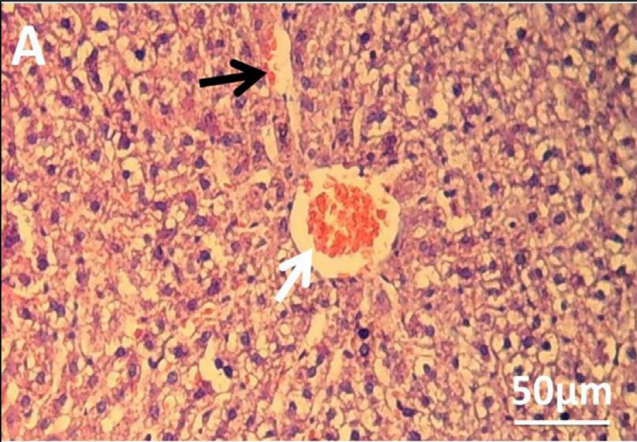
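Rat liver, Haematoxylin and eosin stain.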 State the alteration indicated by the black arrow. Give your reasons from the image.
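A widened channel between hepatocyte cords. Red blood cells lie within the channel.
Answer: congestion and dilation in blood sinusoids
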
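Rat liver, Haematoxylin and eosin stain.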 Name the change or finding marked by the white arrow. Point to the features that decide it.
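Central vein congestion. A round vessel lumen is packed with red-staining blood cells. Cords of hepatocytes radiate outward from this vessel.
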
